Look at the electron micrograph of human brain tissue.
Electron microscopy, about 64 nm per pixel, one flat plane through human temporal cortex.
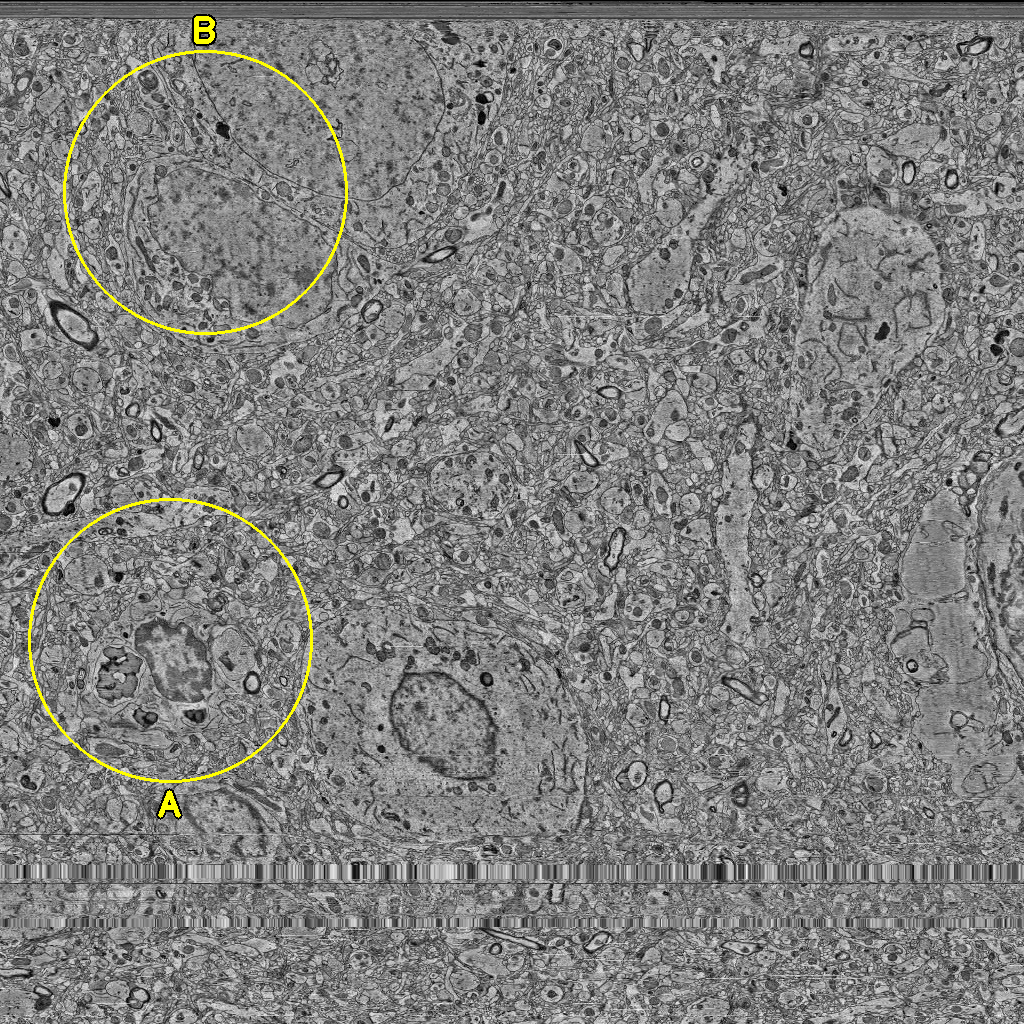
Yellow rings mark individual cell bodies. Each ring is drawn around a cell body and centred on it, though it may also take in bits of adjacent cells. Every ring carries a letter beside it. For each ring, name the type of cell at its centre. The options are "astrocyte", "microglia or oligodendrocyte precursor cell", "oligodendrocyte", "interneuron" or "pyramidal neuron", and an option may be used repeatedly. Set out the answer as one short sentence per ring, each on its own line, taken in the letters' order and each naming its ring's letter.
Ring A is drawn around a microglial cell or oligodendrocyte precursor cell.
Ring B is drawn around an interneuron.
